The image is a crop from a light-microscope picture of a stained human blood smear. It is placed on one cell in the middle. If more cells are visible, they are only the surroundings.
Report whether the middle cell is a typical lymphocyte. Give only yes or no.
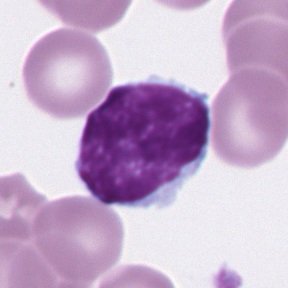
yes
